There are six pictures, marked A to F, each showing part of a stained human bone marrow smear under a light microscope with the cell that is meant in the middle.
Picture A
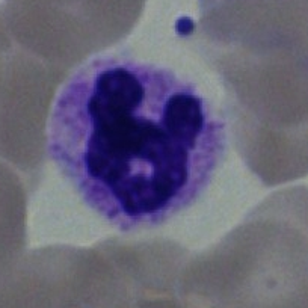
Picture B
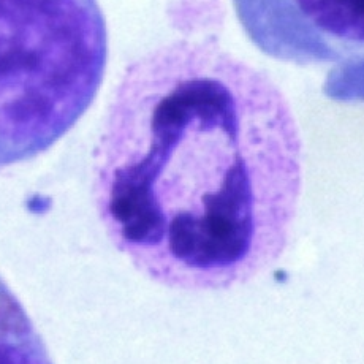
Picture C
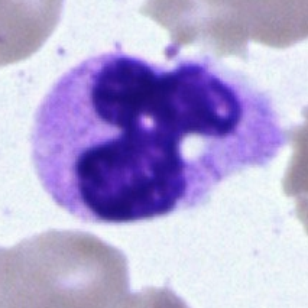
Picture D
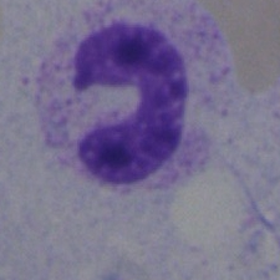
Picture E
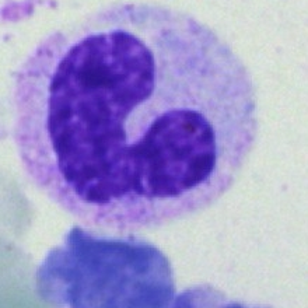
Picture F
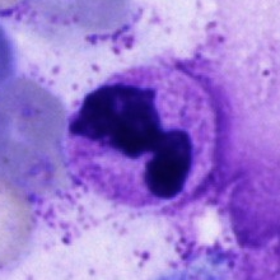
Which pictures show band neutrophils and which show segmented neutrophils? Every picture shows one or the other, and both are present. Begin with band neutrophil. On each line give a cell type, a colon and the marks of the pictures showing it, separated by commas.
band neutrophil: D, E
segmented neutrophil: A, B, C, F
